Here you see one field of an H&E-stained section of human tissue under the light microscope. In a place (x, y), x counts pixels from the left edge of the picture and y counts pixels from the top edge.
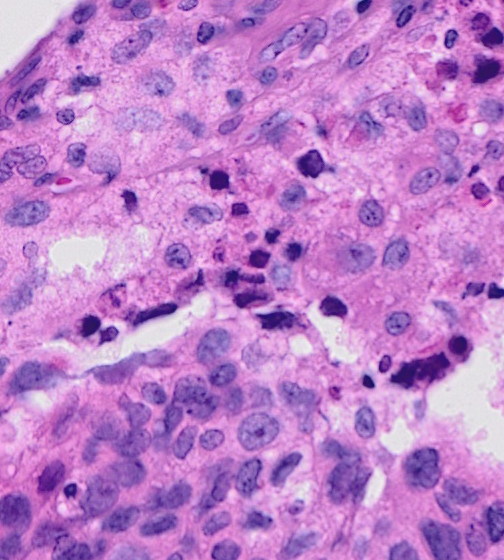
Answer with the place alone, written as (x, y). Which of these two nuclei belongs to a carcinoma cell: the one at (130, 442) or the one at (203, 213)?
(130, 442)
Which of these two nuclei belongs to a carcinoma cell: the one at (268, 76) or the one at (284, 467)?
(284, 467)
